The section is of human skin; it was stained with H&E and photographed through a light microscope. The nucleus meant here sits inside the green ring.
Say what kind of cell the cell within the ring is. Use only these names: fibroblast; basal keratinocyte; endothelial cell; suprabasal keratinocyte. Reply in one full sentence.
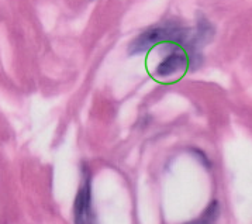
The cell within the ring is an endothelial cell.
